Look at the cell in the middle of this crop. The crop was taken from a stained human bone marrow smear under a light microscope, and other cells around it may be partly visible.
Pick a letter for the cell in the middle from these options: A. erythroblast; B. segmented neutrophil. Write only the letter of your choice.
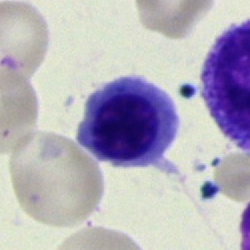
A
